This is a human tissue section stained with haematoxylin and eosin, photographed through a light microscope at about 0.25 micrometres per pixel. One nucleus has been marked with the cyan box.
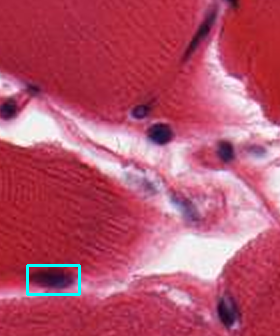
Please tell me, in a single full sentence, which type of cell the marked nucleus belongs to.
The marked nucleus is the nucleus of a skeletal muscle fibre.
